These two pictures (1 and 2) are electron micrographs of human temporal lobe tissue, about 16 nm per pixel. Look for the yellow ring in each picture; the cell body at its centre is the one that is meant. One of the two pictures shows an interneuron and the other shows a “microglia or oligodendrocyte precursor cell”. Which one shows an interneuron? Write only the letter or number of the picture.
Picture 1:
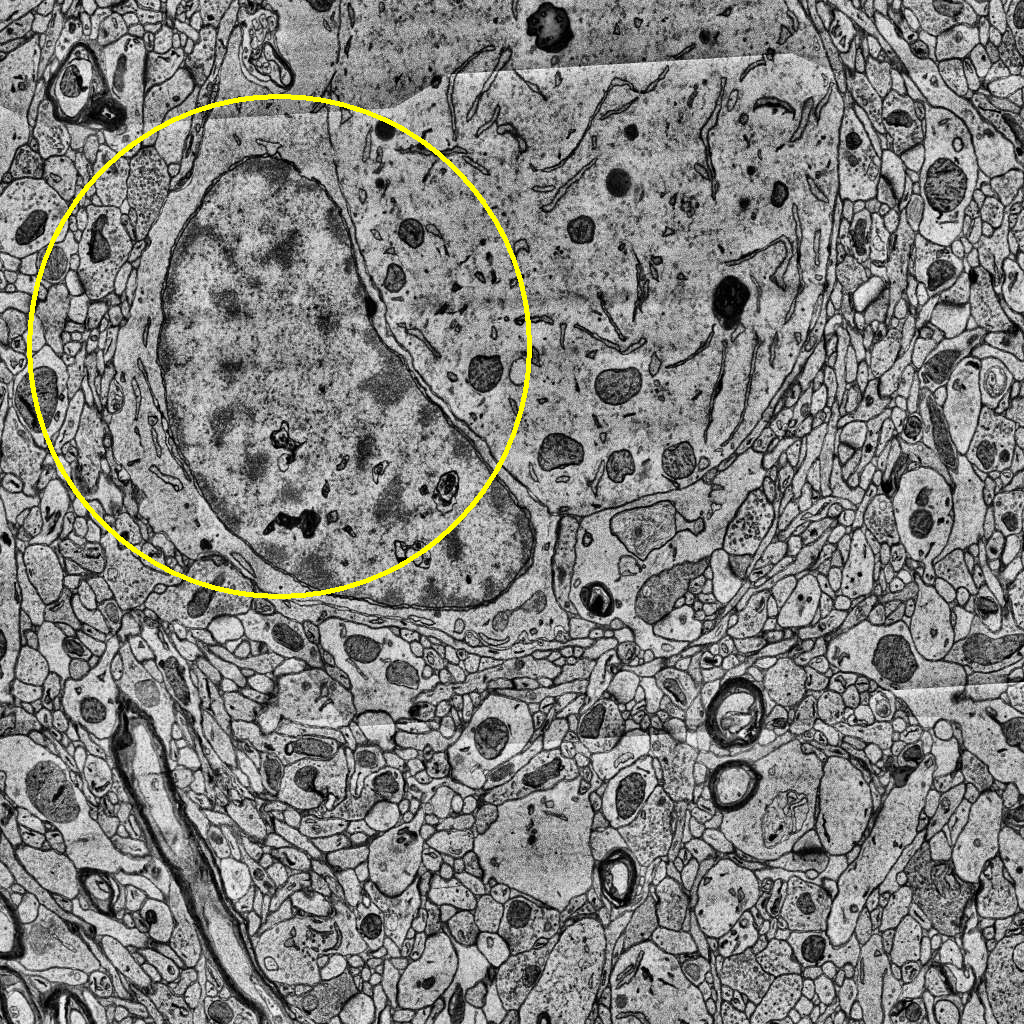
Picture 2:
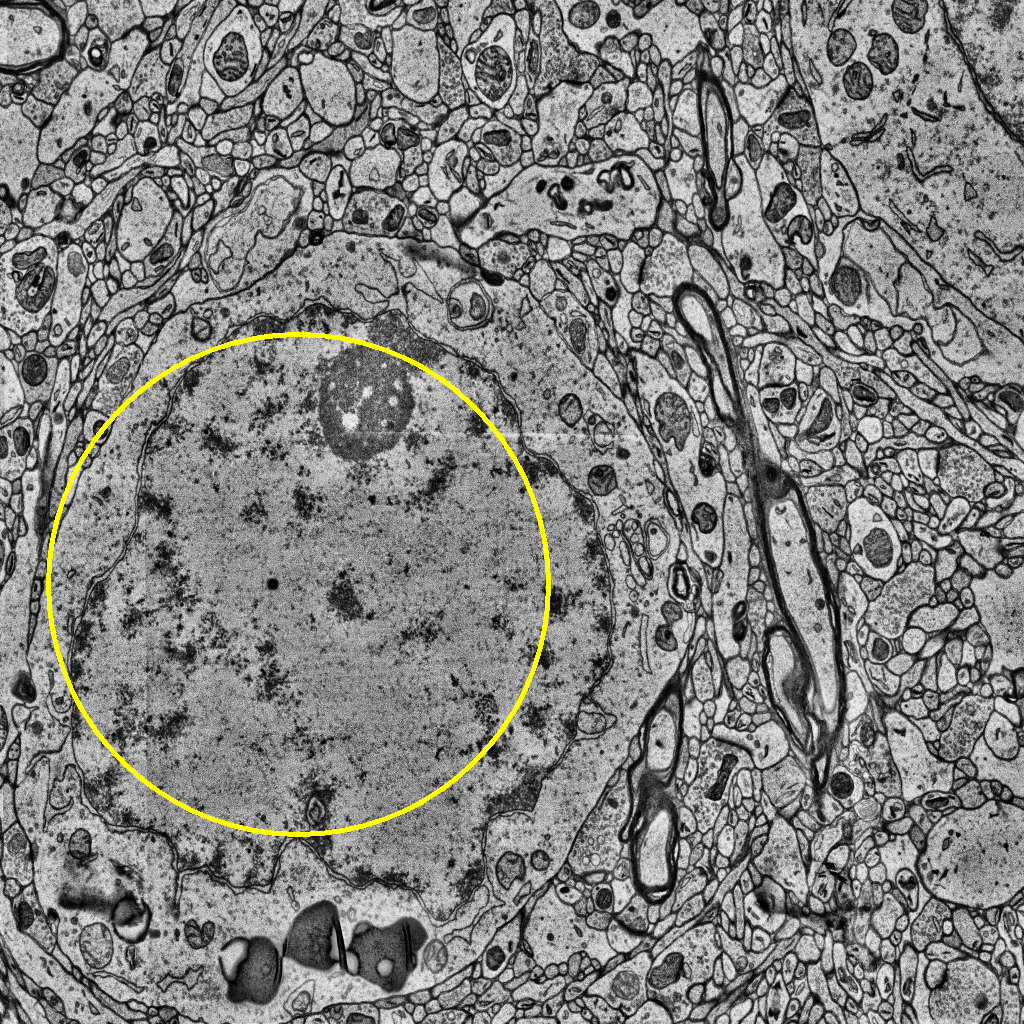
2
